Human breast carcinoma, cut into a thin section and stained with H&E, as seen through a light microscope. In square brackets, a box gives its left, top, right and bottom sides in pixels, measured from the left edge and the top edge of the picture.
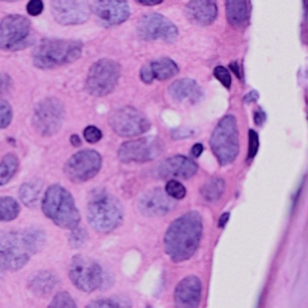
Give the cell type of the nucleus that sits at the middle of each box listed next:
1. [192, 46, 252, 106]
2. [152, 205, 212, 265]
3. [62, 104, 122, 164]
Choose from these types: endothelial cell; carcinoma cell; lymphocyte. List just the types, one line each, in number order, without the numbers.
lymphocyte
carcinoma cell
lymphocyte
